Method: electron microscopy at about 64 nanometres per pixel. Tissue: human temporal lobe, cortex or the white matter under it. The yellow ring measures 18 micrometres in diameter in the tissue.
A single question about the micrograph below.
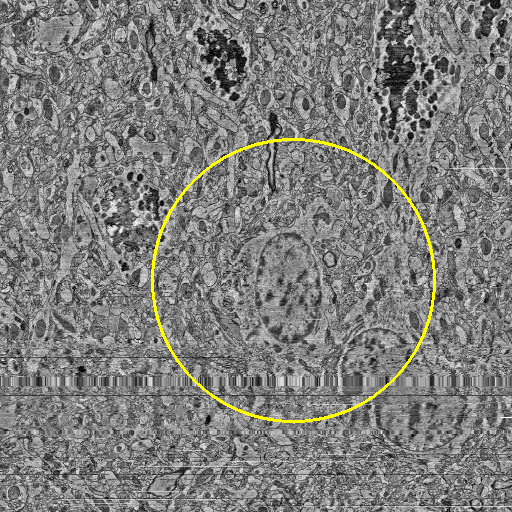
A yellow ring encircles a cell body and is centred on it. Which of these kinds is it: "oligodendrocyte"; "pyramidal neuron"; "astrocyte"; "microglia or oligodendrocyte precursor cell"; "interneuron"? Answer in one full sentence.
The cell body at the centre of the yellow ring belongs to an astrocyte.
